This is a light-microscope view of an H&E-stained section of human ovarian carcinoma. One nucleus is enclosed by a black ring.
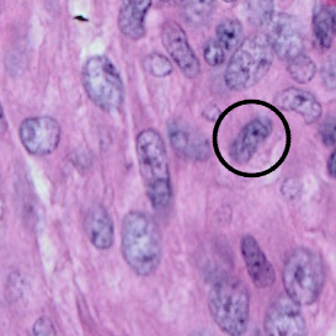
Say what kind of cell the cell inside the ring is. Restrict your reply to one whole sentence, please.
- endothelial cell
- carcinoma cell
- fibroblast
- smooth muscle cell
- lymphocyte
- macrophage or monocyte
Labelled by cell type, the cell inside the ring is a macrophage or monocyte.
